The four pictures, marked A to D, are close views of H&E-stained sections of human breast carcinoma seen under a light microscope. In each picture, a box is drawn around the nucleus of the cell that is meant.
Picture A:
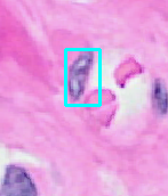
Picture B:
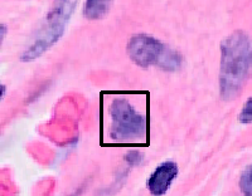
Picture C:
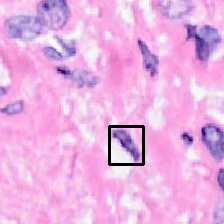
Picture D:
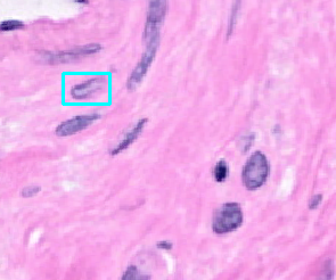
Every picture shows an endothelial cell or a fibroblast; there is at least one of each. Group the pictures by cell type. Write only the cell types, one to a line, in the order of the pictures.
endothelial cell
endothelial cell
fibroblast
endothelial cell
